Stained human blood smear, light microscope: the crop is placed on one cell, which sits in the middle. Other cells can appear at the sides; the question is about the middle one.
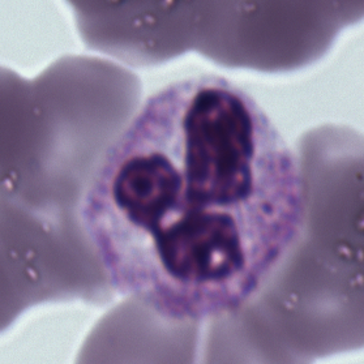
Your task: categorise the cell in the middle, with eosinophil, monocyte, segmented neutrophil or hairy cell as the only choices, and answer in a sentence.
As for the cell in the middle, it is a segmented neutrophil.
